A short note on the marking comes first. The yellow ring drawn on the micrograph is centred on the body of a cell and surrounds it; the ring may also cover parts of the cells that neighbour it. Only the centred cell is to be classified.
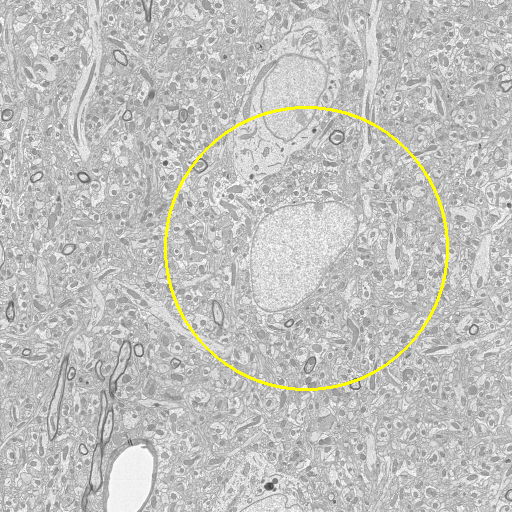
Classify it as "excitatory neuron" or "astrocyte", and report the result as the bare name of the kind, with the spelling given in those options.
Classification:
astrocyte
